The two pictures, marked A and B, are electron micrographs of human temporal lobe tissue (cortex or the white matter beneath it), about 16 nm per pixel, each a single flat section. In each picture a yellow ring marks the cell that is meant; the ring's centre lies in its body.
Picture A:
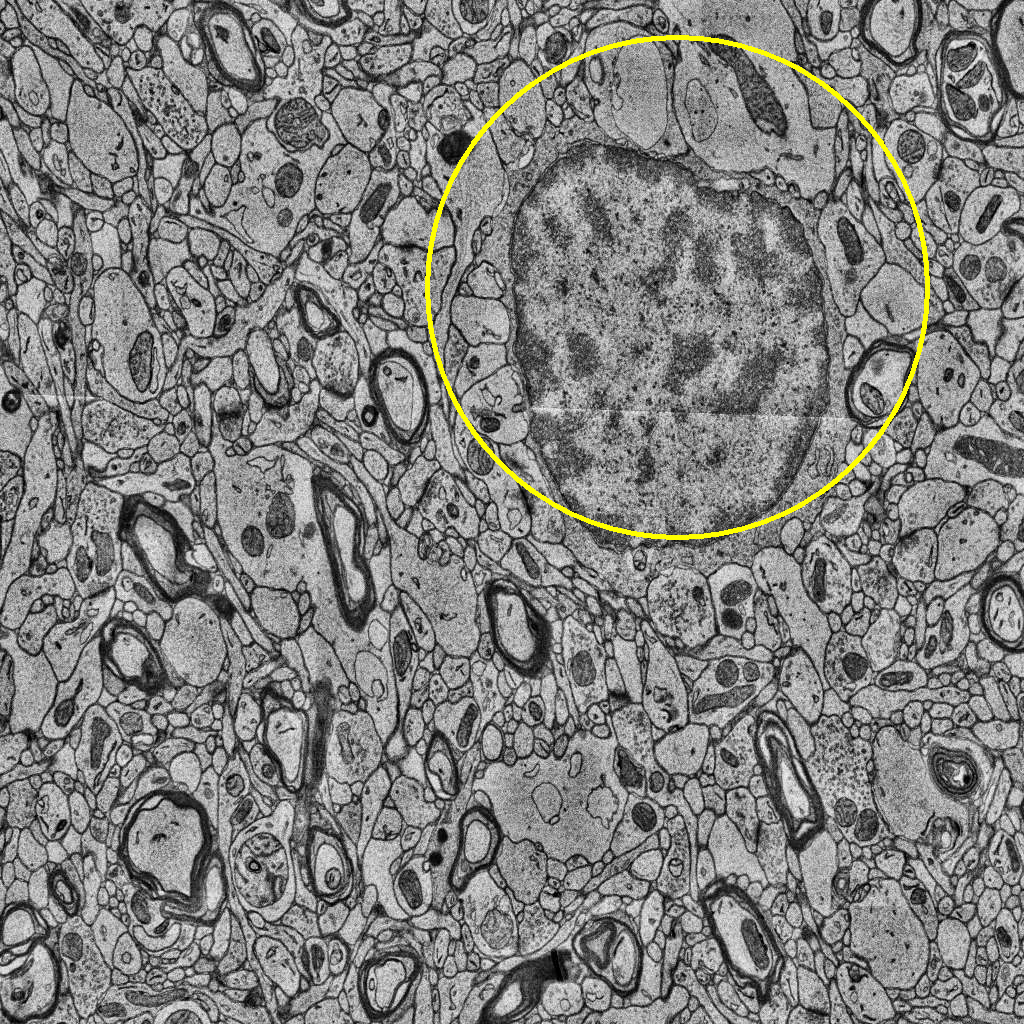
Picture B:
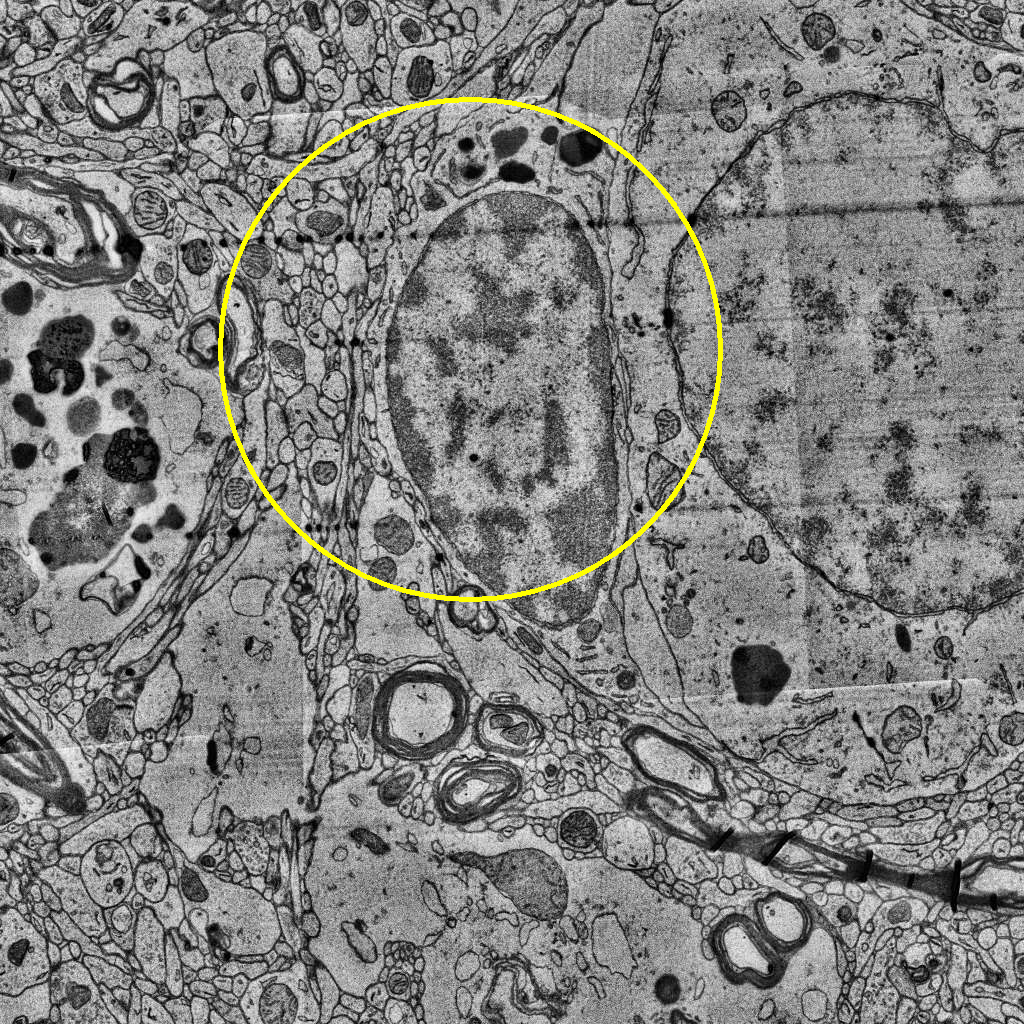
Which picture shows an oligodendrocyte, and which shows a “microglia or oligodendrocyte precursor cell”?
Picture A is of an oligodendrocyte, and picture B is of a “microglia or oligodendrocyte precursor cell”.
